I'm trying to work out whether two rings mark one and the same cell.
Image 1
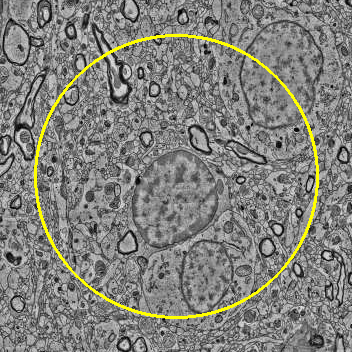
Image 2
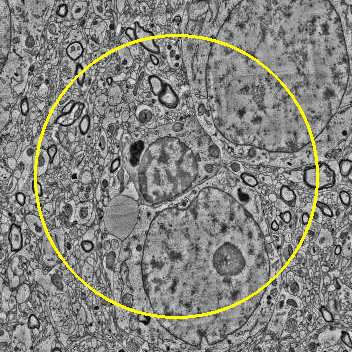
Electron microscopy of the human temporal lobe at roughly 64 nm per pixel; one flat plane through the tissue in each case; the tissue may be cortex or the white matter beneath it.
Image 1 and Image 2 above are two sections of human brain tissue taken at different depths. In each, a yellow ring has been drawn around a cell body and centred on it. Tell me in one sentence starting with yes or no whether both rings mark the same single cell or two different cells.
Yes, each ring singles out the same cell.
